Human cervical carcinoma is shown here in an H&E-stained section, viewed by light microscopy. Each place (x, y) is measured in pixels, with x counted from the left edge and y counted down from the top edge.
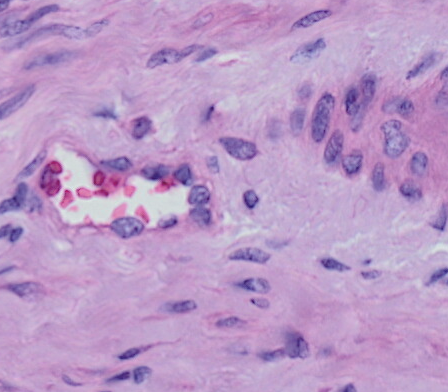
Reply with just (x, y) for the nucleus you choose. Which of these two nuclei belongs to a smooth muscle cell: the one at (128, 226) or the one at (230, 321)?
(230, 321)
